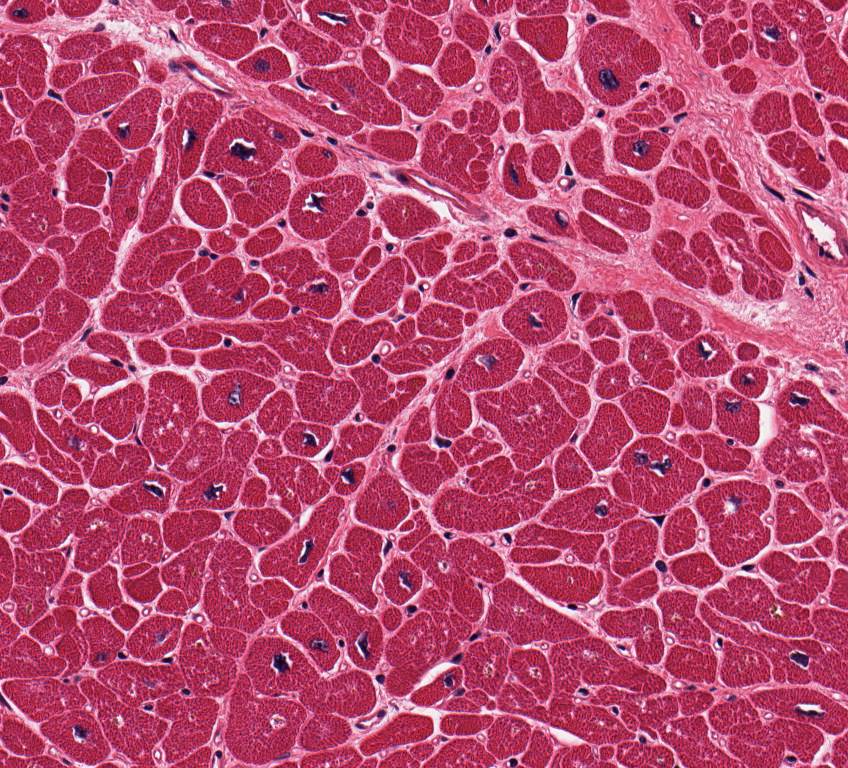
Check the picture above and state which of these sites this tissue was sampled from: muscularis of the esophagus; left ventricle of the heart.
left ventricle of the heart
